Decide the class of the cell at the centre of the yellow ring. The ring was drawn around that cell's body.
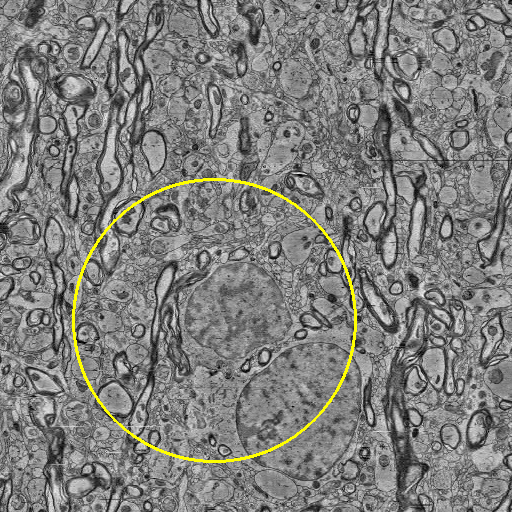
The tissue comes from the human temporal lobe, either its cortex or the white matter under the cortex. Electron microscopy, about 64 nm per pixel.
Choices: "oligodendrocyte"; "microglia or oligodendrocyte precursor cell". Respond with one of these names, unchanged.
oligodendrocyte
